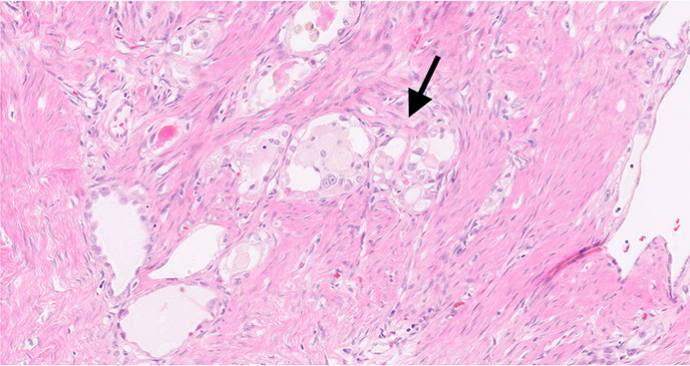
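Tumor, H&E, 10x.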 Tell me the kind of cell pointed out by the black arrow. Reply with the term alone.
Clear cells.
